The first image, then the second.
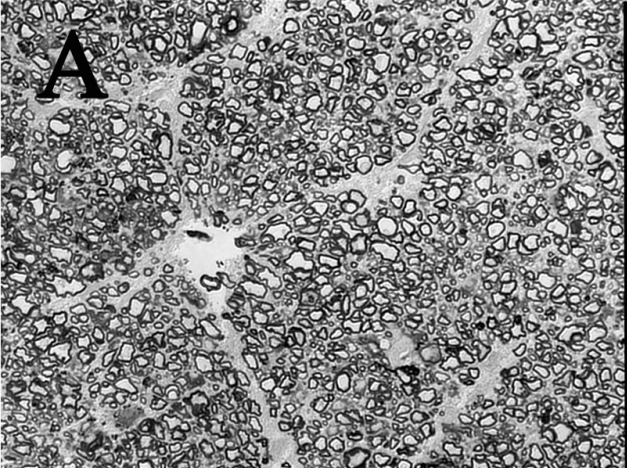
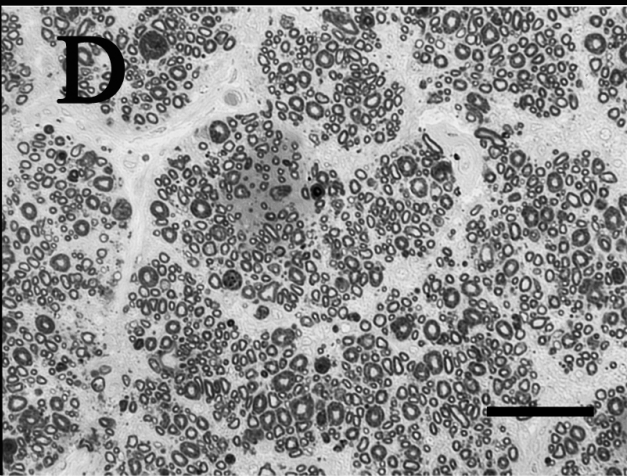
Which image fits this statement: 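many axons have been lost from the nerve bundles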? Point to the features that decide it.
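First image: myelinated fibers are packed closely together, filling the bundles.
Conclusion: the second image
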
